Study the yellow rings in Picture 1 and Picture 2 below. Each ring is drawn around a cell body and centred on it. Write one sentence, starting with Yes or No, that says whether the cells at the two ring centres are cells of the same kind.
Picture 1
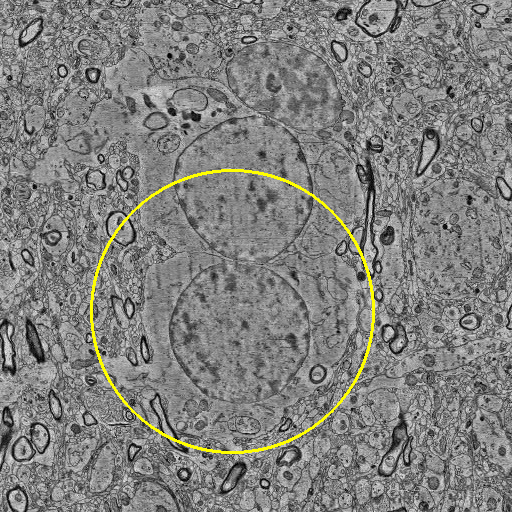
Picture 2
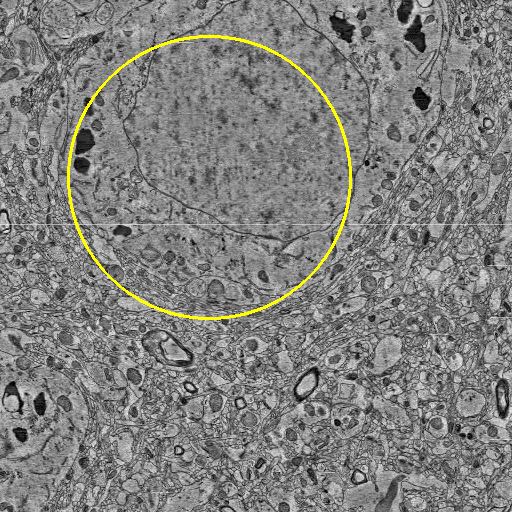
No, the cells at the ring centres are of two kinds.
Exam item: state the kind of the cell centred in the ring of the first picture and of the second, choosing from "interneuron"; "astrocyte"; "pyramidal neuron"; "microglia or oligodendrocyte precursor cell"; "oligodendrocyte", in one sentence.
The first picture shows an astrocyte at the ring centre and the second shows a pyramidal neuron.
